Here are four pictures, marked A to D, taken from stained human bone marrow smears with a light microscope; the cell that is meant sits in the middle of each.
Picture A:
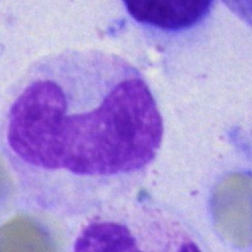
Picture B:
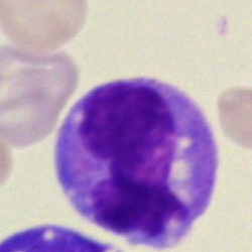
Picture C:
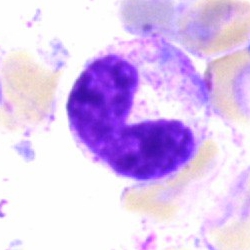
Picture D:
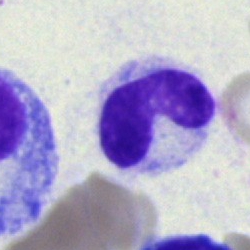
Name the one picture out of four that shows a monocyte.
B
